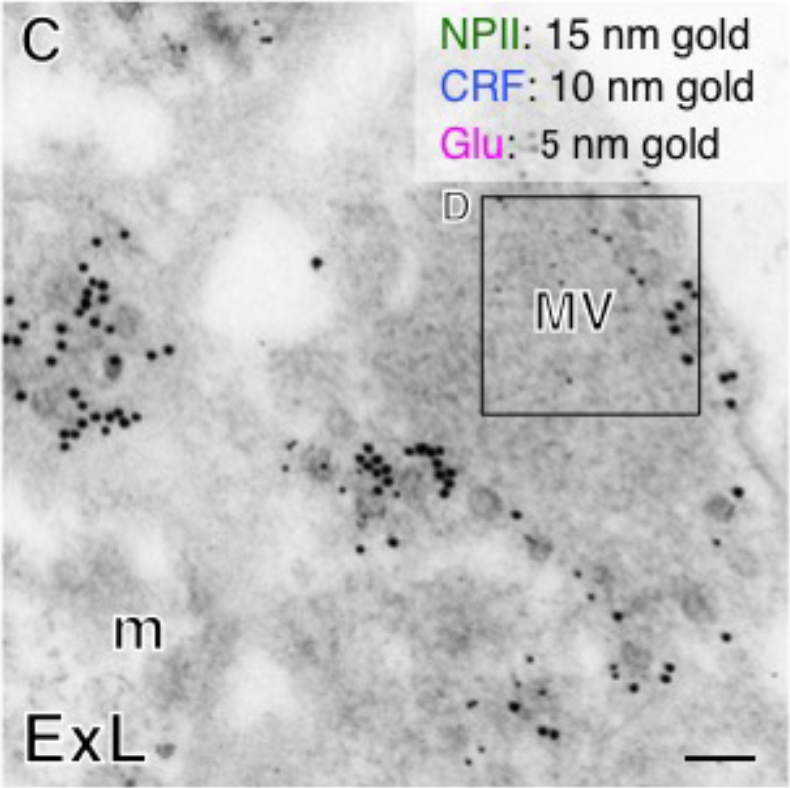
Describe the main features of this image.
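On the left, one ending is packed with round granules, and dense clusters of larger black gold particles lie over them. Further clusters of gold particles lie along granules in the middle and the lower right of the field. At the upper right is a region of clustered small vesicles that looks finely granular, with small gold particles scattered over it. A mitochondrion lies at the lower left, and pale electron-lucent areas lie between the endings.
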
